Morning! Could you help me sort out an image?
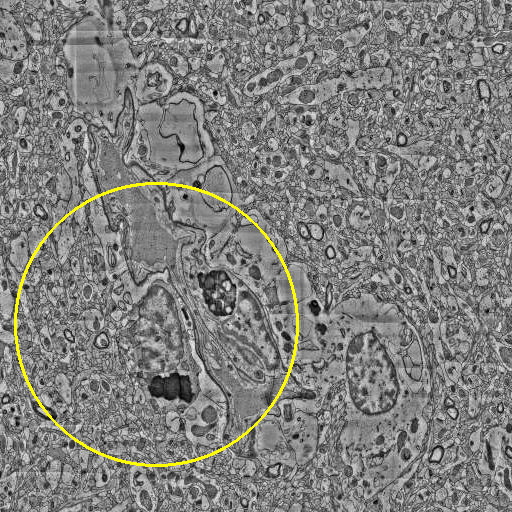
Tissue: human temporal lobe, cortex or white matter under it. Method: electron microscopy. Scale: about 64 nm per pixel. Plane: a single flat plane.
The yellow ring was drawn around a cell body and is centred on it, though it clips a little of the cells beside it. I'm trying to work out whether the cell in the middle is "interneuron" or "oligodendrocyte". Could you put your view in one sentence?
The ringed cell body is that of an oligodendrocyte.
